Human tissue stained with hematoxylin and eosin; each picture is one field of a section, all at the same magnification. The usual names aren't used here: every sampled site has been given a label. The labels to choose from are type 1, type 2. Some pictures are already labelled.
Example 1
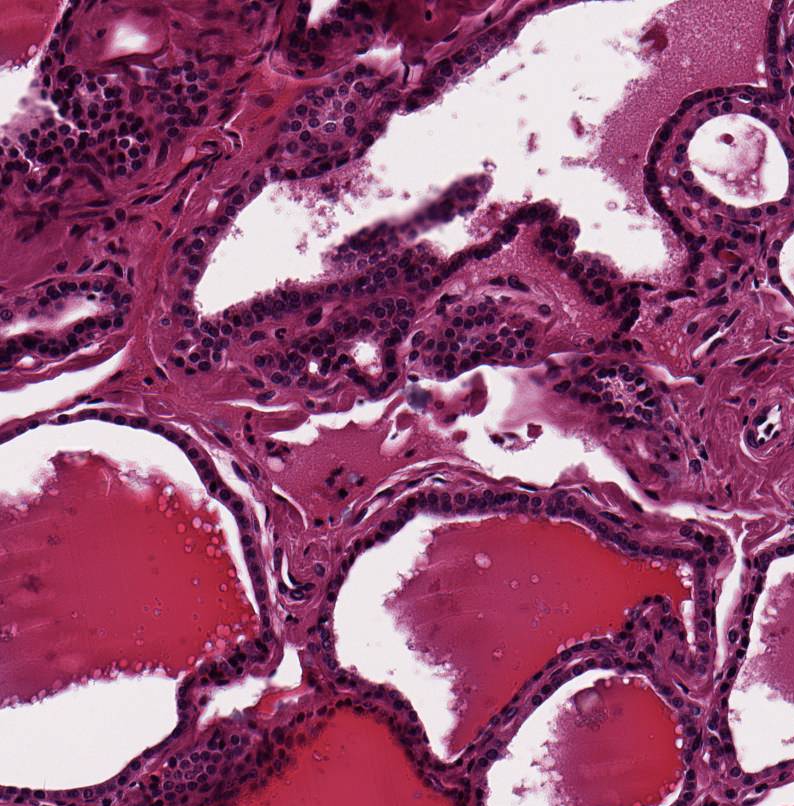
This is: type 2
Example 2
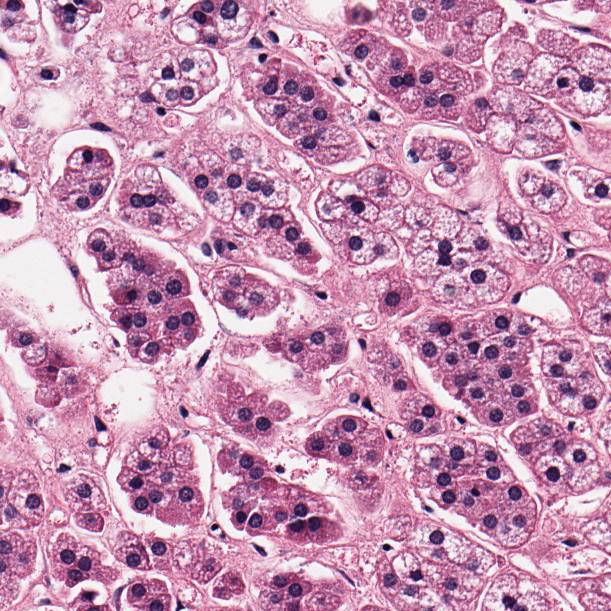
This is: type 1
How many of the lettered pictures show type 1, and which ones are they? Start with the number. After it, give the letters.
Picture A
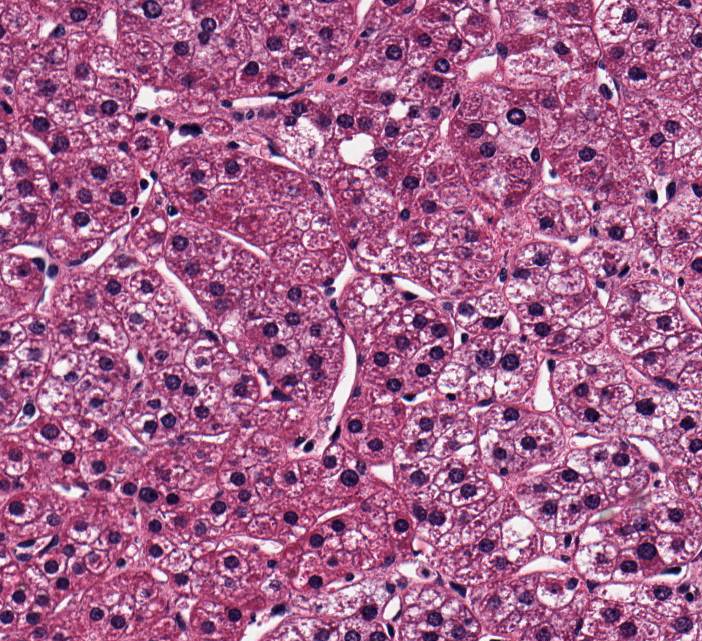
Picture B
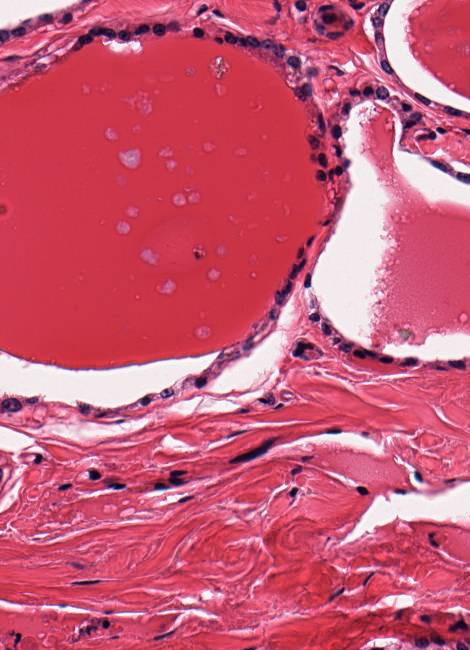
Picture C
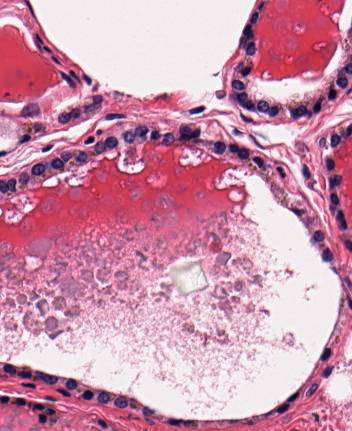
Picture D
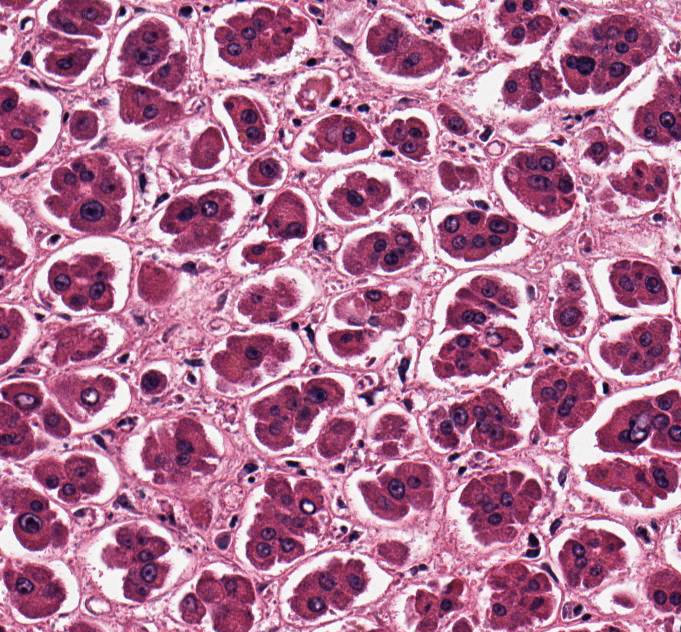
Count: 2 (A, D)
